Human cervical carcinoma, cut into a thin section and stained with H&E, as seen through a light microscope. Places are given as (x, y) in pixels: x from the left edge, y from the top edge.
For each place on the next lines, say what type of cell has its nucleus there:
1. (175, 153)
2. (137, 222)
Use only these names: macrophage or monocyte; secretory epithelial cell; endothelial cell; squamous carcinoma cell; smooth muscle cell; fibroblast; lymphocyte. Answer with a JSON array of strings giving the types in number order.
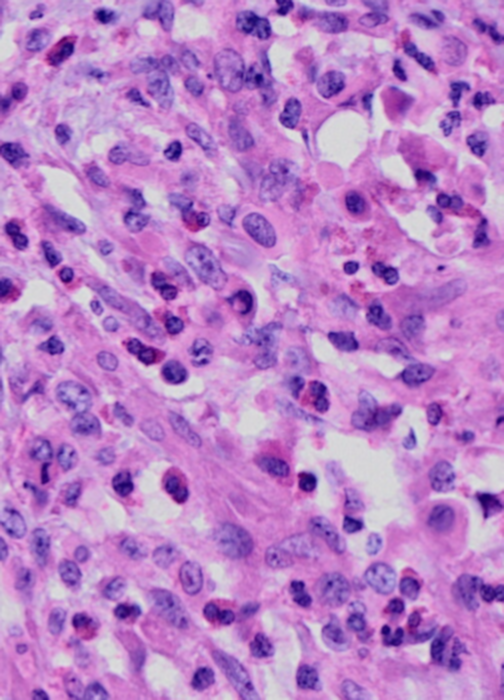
["lymphocyte", "macrophage or monocyte"]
